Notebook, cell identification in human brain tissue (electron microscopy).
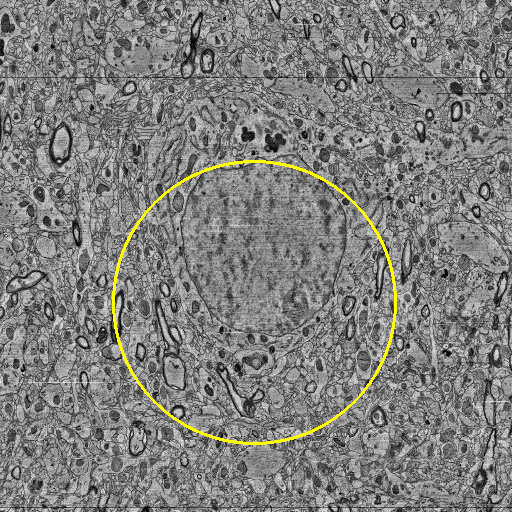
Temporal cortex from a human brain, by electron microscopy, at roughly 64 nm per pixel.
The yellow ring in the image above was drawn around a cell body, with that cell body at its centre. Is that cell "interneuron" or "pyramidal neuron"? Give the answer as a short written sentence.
The cell in the ring is an interneuron.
